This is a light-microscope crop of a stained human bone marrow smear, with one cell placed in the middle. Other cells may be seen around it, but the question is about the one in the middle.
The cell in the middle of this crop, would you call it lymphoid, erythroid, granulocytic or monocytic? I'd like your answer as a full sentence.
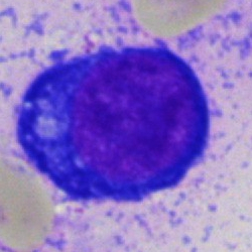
The lineage represented by the central cell is erythroid.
